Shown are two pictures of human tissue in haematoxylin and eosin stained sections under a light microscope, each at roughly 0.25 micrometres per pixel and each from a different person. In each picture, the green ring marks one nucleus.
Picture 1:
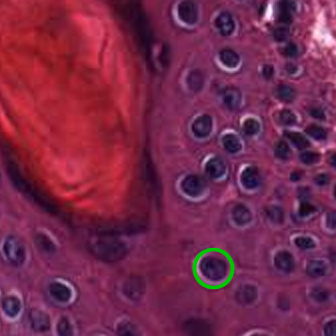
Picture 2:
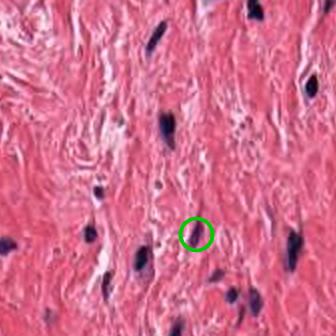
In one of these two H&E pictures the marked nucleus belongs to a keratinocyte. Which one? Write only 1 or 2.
1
